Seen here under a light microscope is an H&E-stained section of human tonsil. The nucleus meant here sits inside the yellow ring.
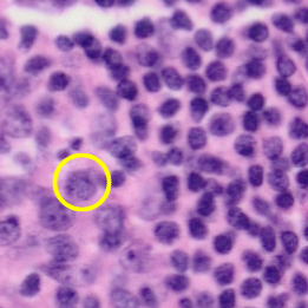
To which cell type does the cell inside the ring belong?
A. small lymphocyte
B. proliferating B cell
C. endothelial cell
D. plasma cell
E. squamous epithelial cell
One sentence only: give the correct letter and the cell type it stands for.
Exactly as option B gives it, the cell inside the ring is a proliferating B cell.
